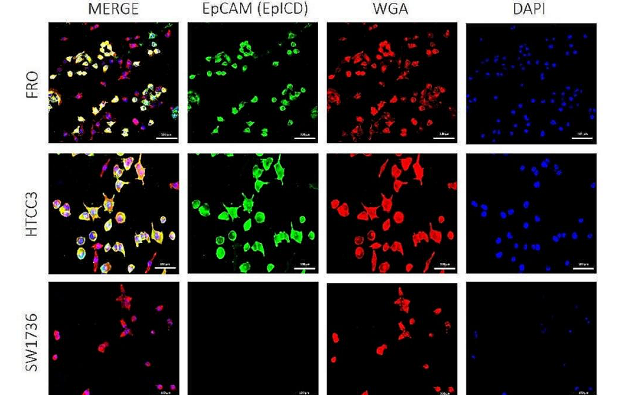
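The cells lie separately or in loose groups, each with a single round blue nucleus. The red label covers the whole outline of every cell, showing rounded to irregular, sometimes angular or branching shapes. In the upper two rows many of the cells are also green, and where green and red overlap they appear yellow, while others in the same fields are red only. In the bottom row the cells are sparser and show red but no green.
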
